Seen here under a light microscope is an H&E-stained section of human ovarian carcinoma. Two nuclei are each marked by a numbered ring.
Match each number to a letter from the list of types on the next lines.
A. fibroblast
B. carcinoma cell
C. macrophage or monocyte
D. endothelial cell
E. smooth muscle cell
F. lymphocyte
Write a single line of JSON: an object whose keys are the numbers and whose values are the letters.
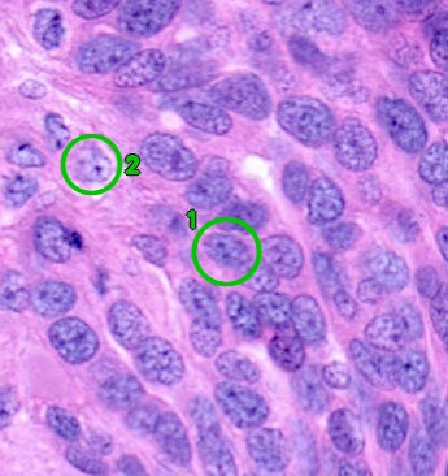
{"1": "B", "2": "A"}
